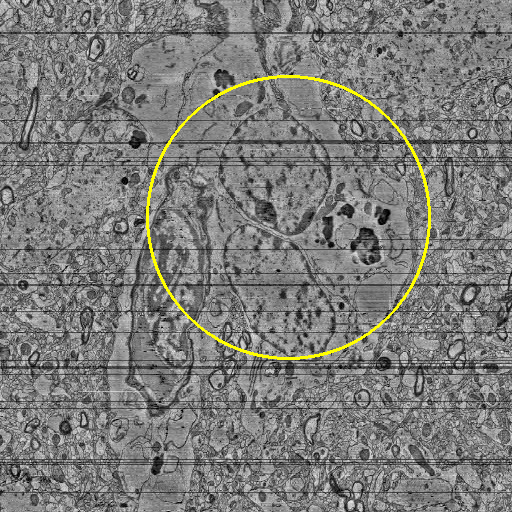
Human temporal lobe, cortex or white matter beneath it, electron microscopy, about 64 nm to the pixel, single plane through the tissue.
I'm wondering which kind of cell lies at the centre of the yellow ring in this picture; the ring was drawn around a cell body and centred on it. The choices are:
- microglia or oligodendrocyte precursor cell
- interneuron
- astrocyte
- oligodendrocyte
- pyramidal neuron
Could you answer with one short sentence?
At the centre of the ring lies an astrocyte.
